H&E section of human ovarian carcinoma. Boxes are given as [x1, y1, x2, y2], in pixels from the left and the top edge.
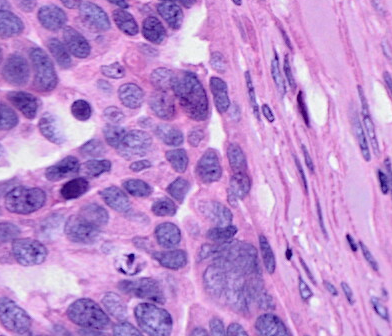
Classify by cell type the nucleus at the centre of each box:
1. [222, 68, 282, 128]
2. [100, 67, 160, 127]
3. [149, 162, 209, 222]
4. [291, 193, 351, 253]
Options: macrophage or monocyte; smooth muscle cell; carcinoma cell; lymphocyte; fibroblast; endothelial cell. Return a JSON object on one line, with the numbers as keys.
{"1": "fibroblast", "2": "carcinoma cell", "3": "carcinoma cell", "4": "fibroblast"}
